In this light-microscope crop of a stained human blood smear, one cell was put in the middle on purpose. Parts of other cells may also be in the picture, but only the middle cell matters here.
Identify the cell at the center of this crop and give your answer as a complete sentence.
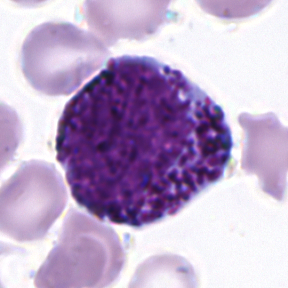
Framed in the middle of the crop is a basophil.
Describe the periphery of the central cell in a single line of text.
Around its whole circumference the outline stays smooth, free of projections.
